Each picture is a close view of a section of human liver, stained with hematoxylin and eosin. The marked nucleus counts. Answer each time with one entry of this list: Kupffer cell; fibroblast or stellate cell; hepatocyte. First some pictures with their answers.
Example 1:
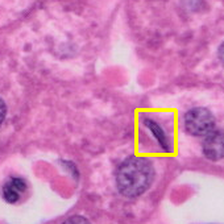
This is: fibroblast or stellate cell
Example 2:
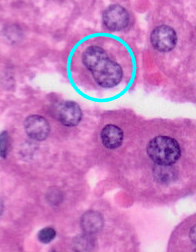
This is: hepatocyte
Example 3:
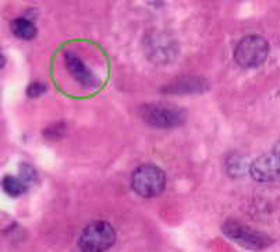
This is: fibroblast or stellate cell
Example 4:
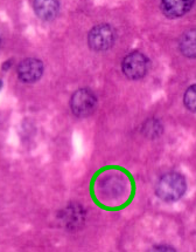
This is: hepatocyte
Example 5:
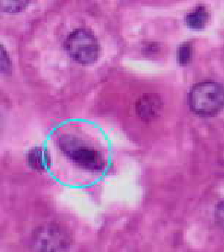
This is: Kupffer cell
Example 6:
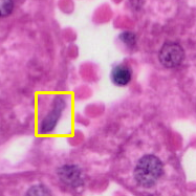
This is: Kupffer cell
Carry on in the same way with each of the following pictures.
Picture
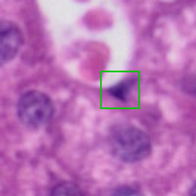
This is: fibroblast or stellate cell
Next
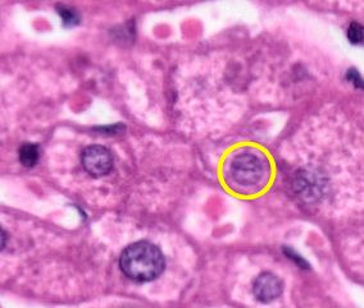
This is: hepatocyte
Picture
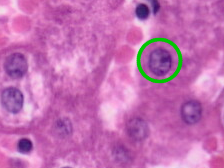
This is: hepatocyte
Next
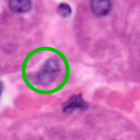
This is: Kupffer cell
